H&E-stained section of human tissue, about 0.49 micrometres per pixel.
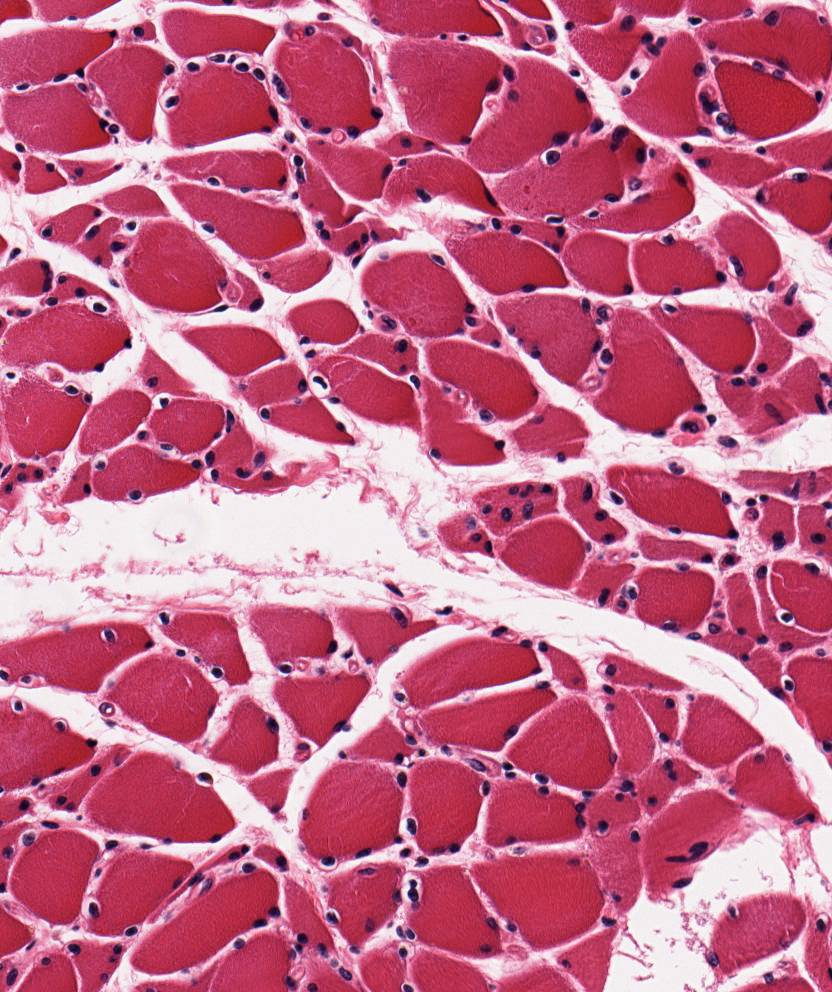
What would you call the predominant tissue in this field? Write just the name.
skeletal muscle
